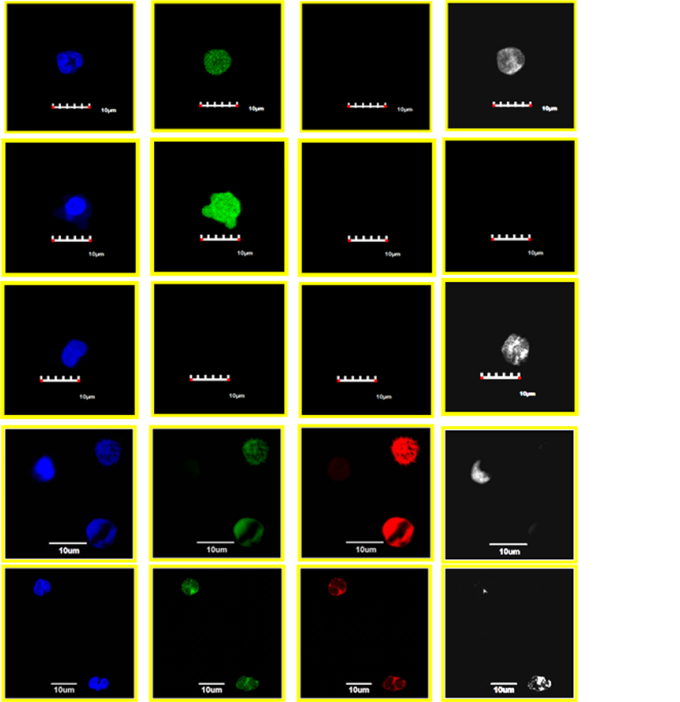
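Each row shows the same small field of isolated, rounded blood cells about ten micrometres across, seen separately in blue, green, red and white. The green, red and white signals differ from row to row: some cells are bright in green and white but dark in red, one is bright in green alone with a ragged, irregular outline, one shows only white besides its blue nucleus, and in the lower rows several cells are bright in green and red together. Where present, the signals fill the cell body around the nucleus with a granular texture, and the white signal sometimes forms a crescent or patchy rim.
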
